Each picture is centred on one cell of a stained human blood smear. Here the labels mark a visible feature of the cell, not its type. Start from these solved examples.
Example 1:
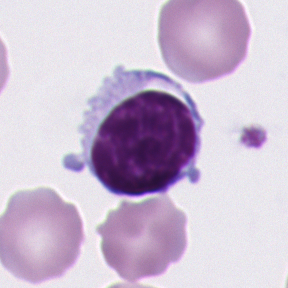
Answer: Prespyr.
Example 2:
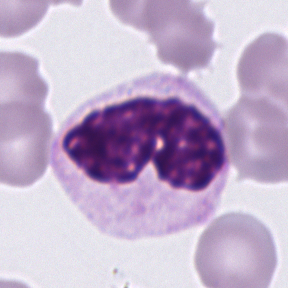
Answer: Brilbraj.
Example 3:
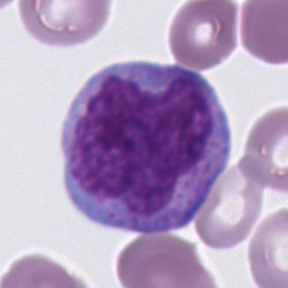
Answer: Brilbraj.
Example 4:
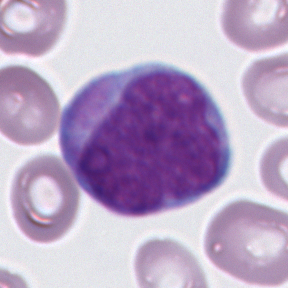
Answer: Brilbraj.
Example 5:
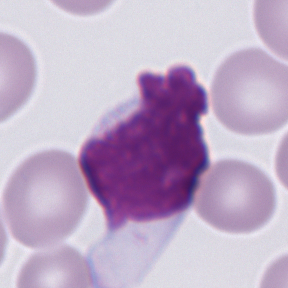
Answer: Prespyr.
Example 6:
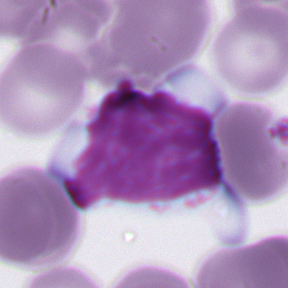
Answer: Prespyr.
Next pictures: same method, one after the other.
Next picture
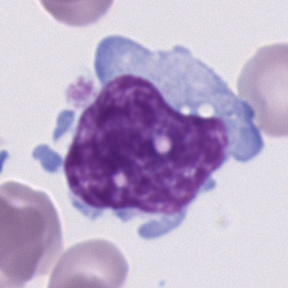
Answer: Prespyr.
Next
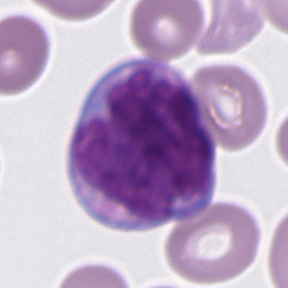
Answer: Brilbraj.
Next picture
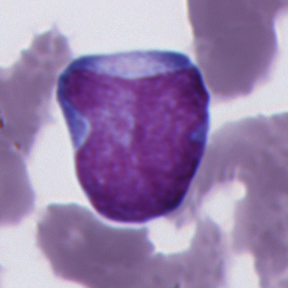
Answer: Brilbraj.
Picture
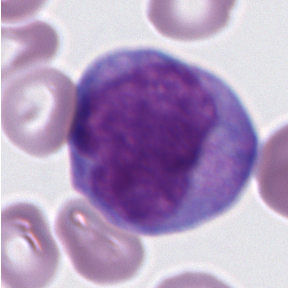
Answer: Brilbraj.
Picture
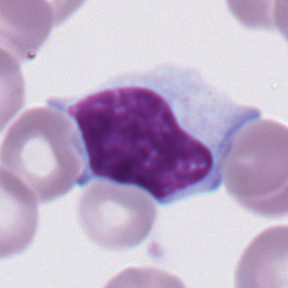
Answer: Prespyr.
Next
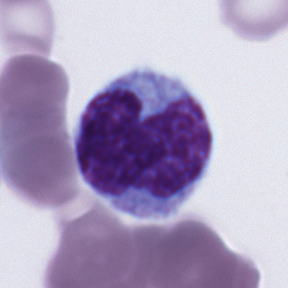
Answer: Brilbraj.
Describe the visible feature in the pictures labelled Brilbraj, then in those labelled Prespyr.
Brilbraj: smooth outline; Prespyr: ragged outline or projections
